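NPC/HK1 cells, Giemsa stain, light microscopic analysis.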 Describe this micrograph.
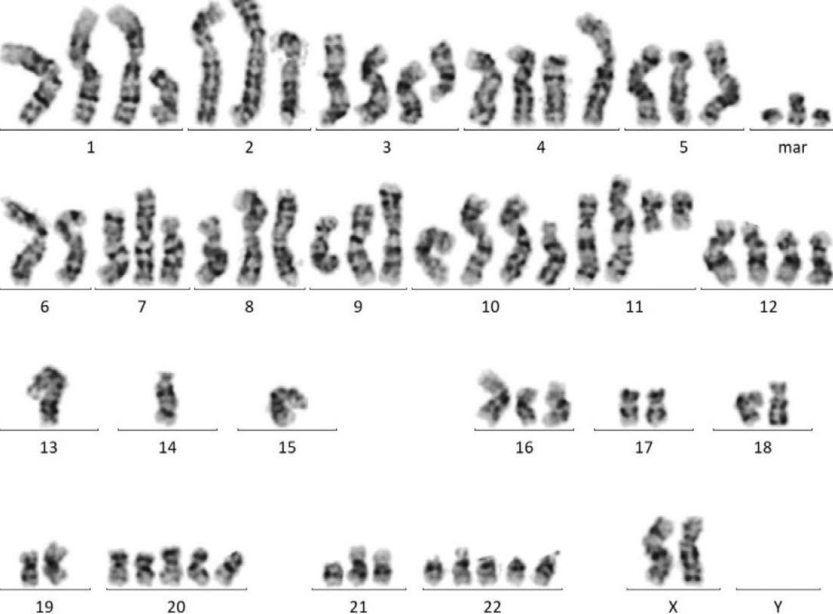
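This is a karyogram: the banded chromosomes of a single spread have been cut out and lined up in numbered groups from the largest to the smallest, with the sex chromosomes at the end. The groups do not hold neat pairs: some numbers have three, four or five copies, others only one, and several chromosomes look shortened or differently banded than their partners. A group of small unidentified pieces sits at the end of the first row, and the place for the Y chromosome is empty.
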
